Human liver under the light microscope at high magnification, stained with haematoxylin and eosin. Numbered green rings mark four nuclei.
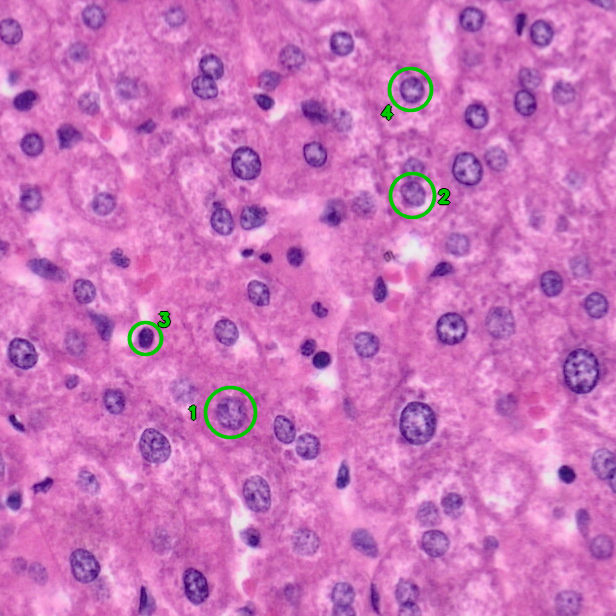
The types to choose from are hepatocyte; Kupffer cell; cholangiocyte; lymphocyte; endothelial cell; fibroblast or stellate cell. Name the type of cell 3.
lymphocyte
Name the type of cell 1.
hepatocyte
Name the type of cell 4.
hepatocyte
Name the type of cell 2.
hepatocyte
